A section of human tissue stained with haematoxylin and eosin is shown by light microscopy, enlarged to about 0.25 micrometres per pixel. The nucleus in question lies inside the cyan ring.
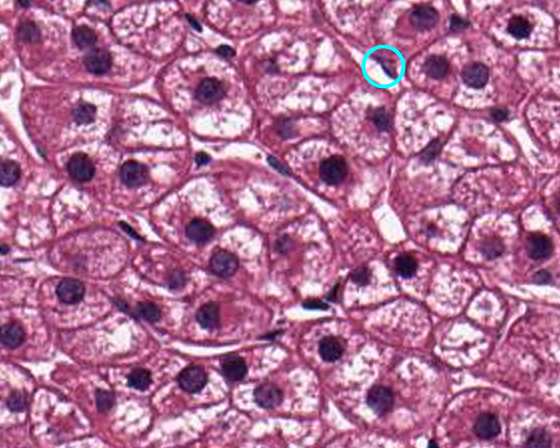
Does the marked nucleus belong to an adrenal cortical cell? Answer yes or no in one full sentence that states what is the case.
No, a supporting cell, not an adrenal cortical cell, carries the marked nucleus.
